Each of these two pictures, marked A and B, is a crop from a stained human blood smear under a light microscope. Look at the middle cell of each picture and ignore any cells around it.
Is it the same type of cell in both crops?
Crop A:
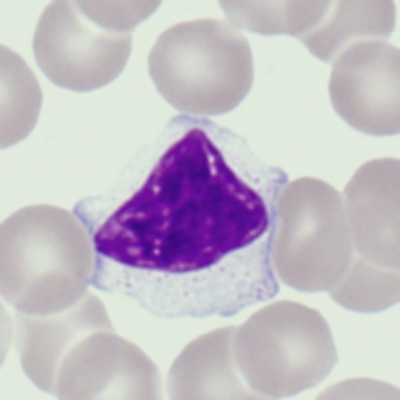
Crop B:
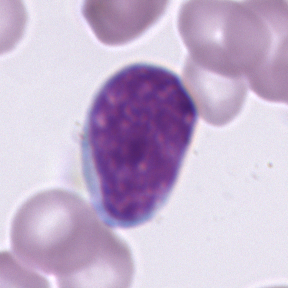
no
